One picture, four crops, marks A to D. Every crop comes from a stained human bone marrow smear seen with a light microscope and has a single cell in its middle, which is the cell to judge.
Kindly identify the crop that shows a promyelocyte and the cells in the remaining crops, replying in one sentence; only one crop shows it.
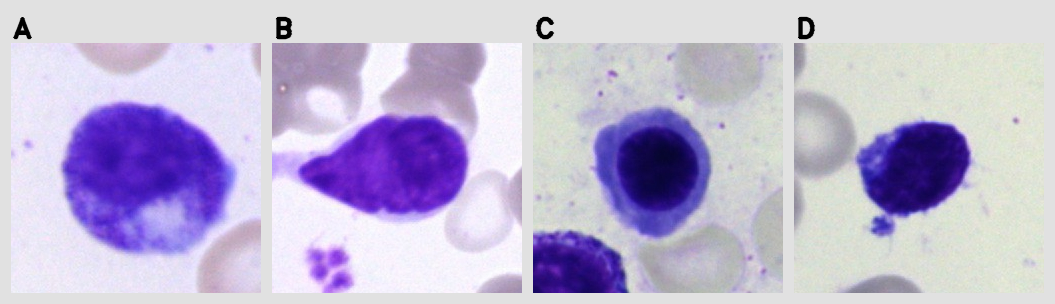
Shown in crop A is a promyelocyte, whereas crop B is a lymphocyte, crop C is a normoblast and crop D is a blast.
